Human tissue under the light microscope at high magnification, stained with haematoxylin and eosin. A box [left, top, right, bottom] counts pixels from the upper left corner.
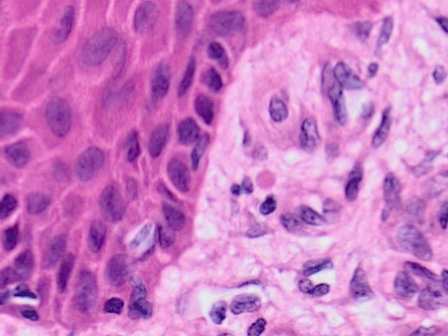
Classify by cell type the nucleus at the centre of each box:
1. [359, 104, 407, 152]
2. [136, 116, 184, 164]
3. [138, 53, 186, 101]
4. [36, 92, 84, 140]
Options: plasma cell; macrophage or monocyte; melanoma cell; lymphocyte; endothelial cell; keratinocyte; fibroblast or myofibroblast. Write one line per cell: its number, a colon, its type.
1: fibroblast or myofibroblast
2: keratinocyte
3: keratinocyte
4: keratinocyte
